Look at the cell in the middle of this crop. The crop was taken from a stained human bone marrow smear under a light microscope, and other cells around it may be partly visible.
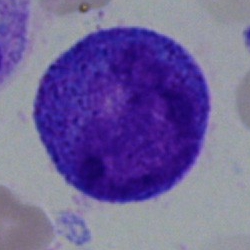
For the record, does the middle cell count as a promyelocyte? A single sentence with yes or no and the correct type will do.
Yes, the cell found at the centre of the crop is a promyelocyte.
